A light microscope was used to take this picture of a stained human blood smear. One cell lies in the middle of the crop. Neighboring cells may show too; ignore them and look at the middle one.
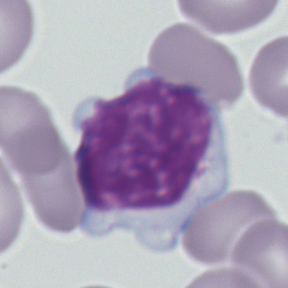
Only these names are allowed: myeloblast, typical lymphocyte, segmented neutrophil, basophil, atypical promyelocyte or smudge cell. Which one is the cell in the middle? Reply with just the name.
typical lymphocyte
